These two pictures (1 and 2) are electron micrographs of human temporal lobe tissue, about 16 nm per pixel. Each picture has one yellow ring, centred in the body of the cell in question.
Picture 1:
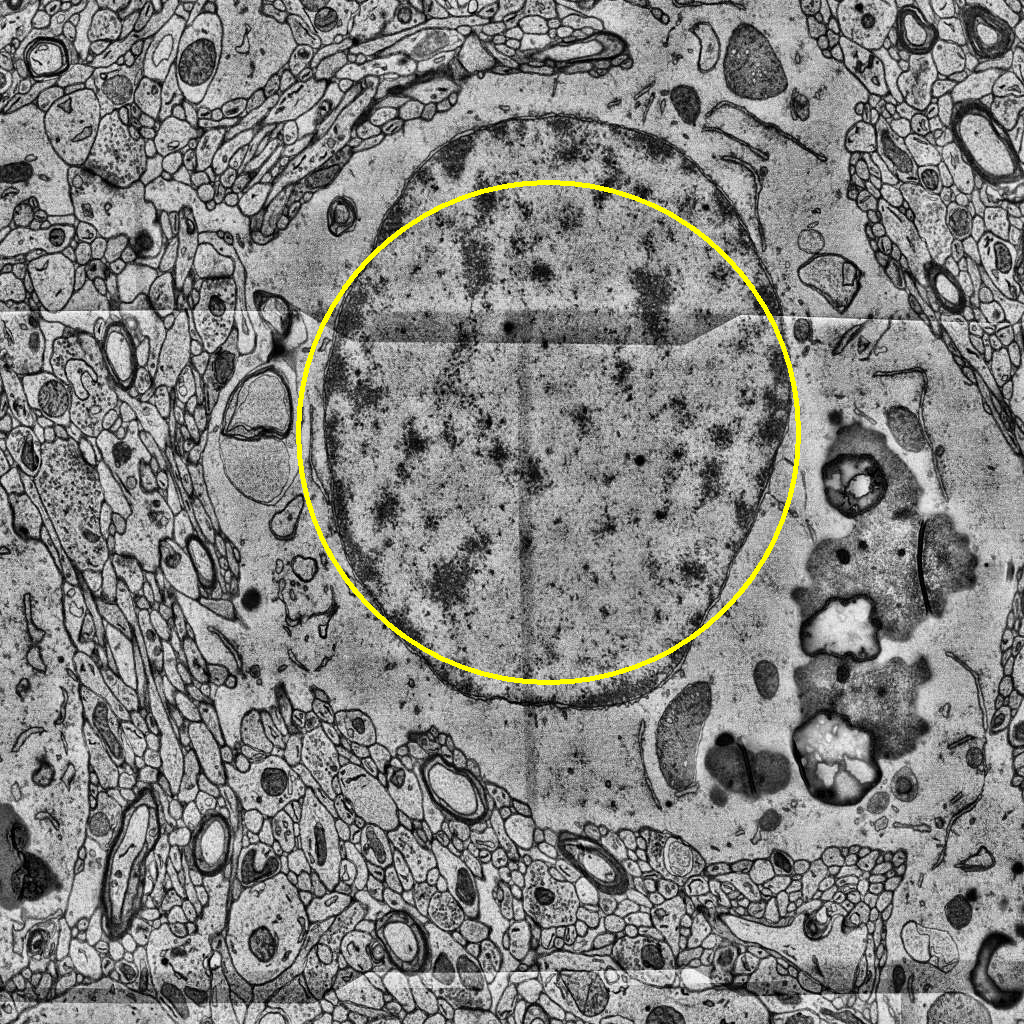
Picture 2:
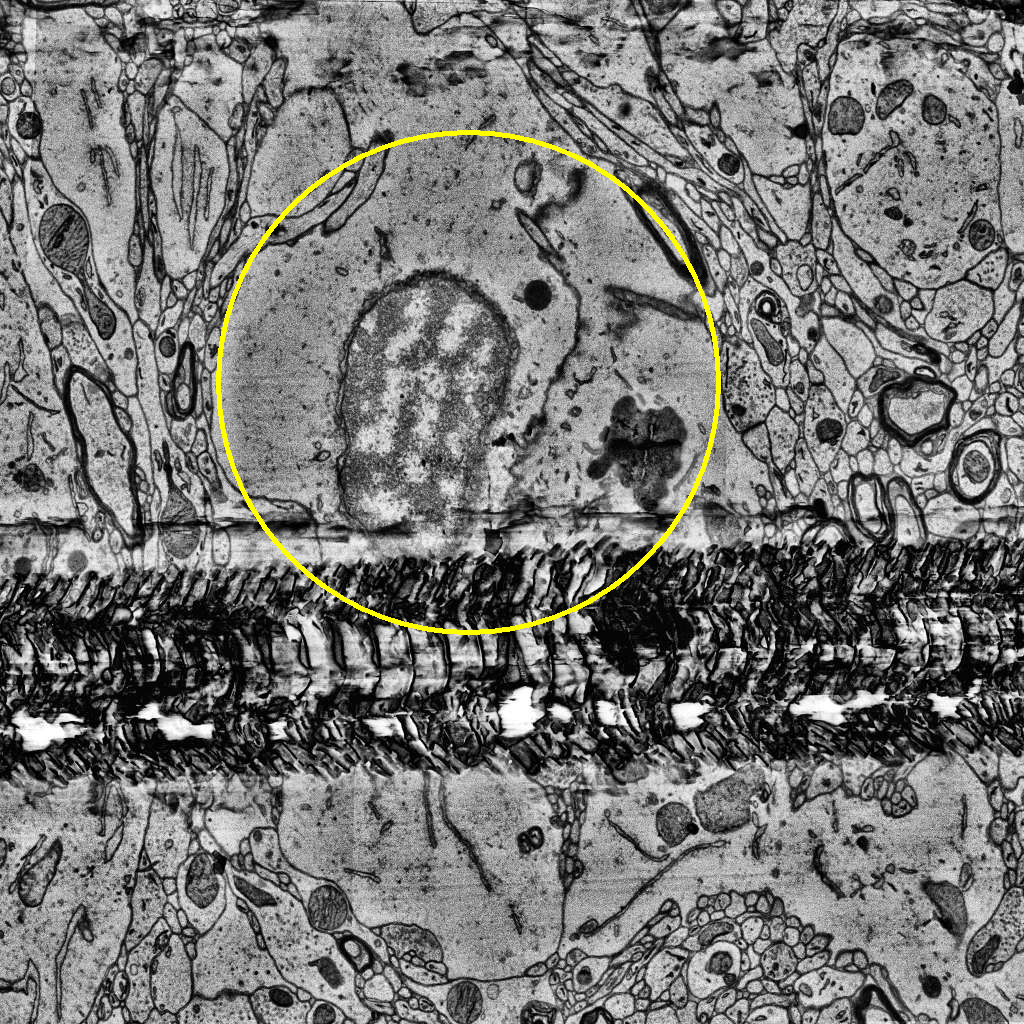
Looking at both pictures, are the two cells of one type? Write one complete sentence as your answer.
Yes, both are astrocytes.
